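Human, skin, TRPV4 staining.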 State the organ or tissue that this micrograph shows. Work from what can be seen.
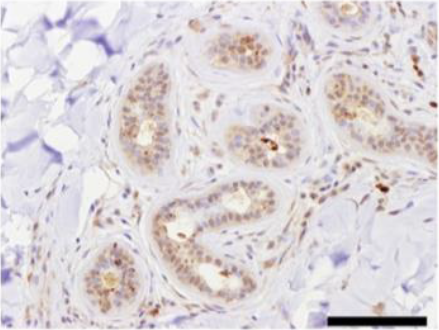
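Coiled tubules are cut in cross-section within dermal connective tissue. Each tubule has a small central lumen ringed by epithelial cells with round nuclei. The answer: sweat glands.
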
